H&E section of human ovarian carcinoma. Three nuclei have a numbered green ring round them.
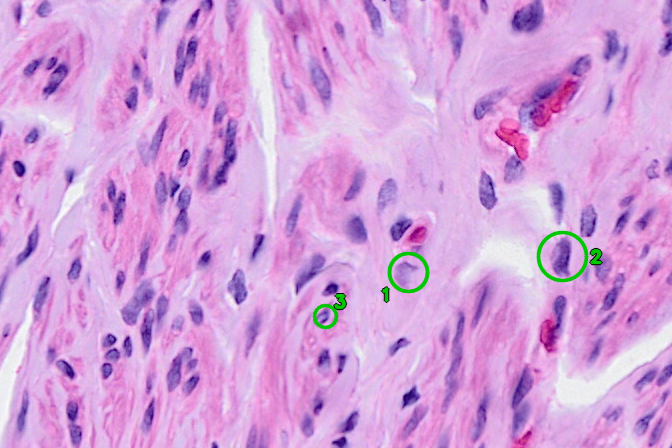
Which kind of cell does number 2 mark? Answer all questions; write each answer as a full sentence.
The identity of cell 2 is that of a fibroblast.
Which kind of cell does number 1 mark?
Cell 1, as marked in the section, is a fibroblast.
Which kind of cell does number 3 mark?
That cell with number 3 is a smooth muscle cell.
